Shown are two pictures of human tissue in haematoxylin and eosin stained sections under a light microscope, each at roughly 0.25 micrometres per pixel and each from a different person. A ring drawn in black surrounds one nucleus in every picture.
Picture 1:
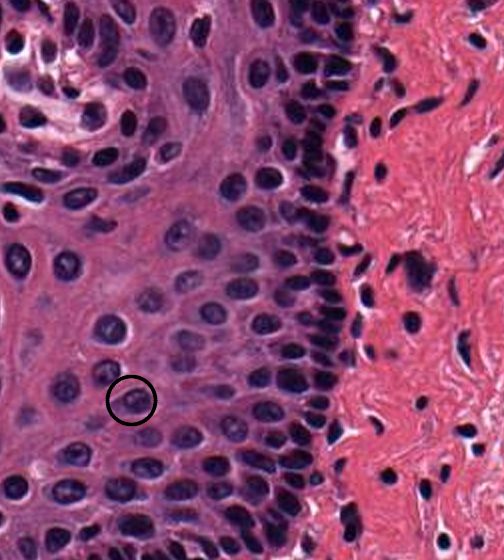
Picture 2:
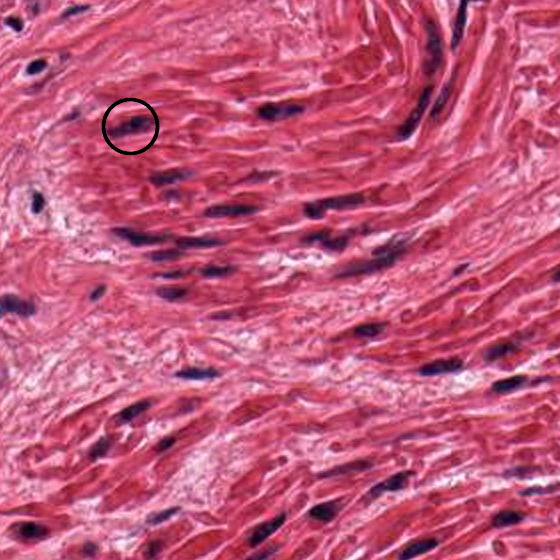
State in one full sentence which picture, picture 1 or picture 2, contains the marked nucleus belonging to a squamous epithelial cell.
Belonging to a squamous epithelial cell is the marked nucleus of picture 1.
